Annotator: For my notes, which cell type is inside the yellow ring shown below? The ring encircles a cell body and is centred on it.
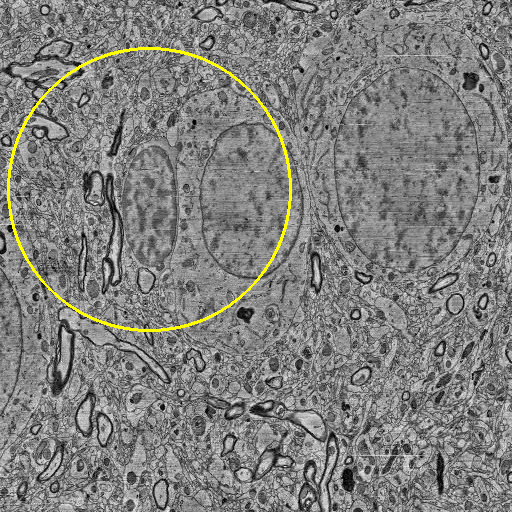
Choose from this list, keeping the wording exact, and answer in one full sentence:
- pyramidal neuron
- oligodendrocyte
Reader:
At the centre of the yellow ring there is an oligodendrocyte, as shown in the picture.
